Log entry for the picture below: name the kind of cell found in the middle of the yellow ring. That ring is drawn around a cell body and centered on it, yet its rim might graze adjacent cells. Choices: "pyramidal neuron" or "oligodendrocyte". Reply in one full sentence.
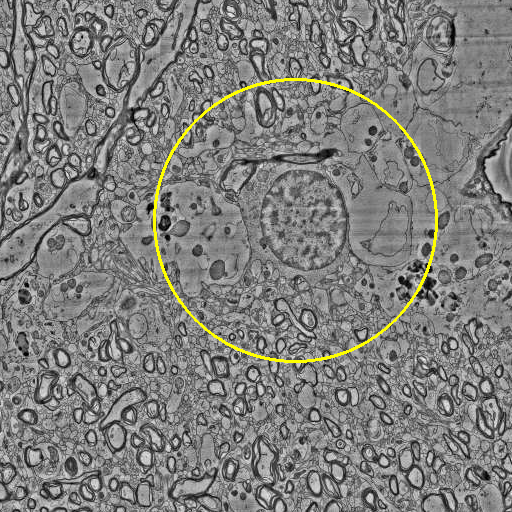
The cell in the middle of the yellow ring in this picture is an oligodendrocyte.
